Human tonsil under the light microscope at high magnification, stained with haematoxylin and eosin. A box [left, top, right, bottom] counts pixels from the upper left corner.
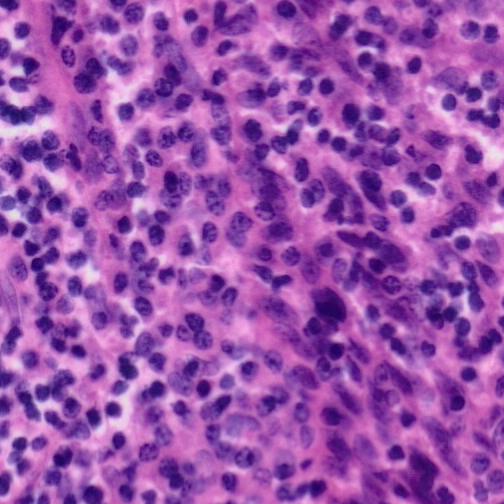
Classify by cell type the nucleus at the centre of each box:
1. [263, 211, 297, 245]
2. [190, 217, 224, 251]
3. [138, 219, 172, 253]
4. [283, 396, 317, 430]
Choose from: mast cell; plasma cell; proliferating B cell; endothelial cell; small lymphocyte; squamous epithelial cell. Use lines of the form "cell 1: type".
cell 1: squamous epithelial cell
cell 2: plasma cell
cell 3: plasma cell
cell 4: plasma cell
